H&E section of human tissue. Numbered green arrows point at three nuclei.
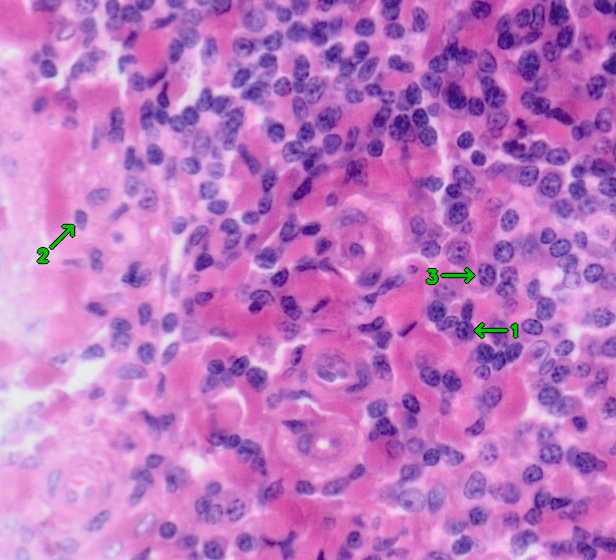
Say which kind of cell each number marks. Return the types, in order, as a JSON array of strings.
["plasma cell", "mast cell", "plasma cell"]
